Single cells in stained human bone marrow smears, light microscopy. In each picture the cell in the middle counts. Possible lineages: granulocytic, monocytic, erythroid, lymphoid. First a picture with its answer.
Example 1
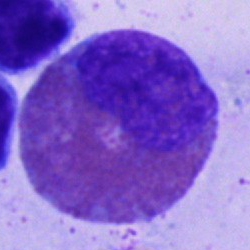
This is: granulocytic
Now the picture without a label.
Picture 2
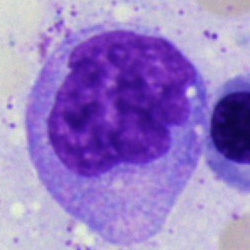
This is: monocytic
